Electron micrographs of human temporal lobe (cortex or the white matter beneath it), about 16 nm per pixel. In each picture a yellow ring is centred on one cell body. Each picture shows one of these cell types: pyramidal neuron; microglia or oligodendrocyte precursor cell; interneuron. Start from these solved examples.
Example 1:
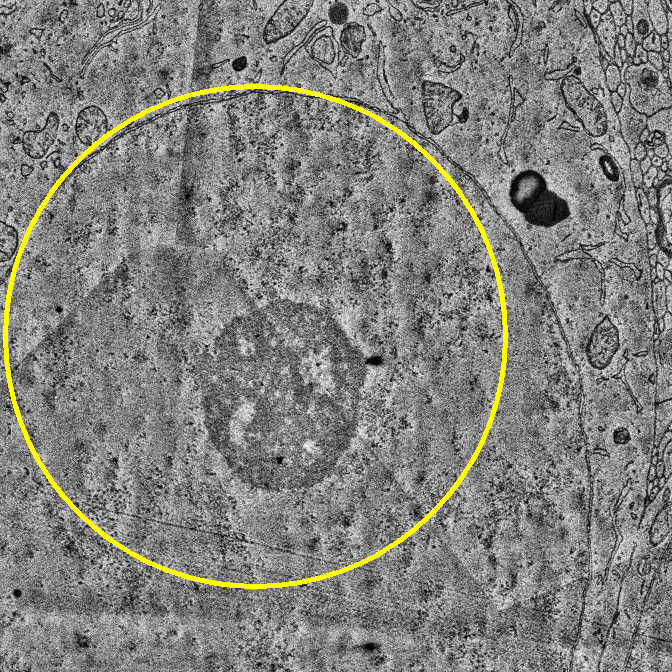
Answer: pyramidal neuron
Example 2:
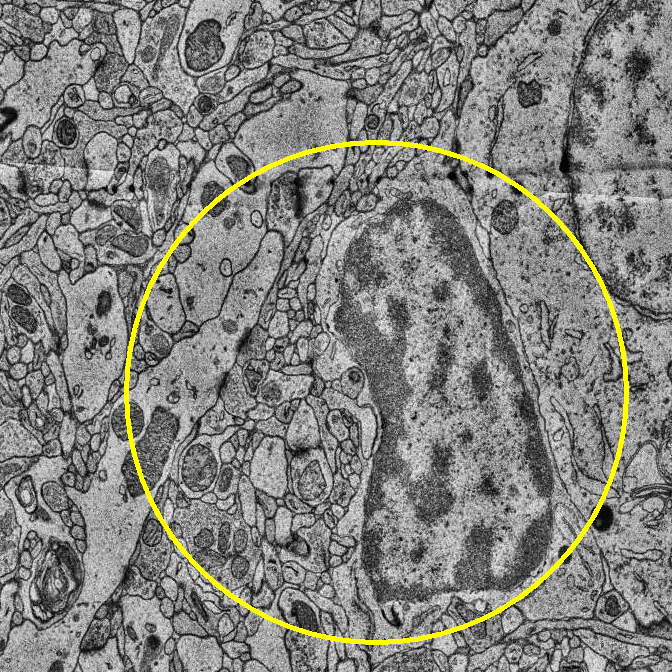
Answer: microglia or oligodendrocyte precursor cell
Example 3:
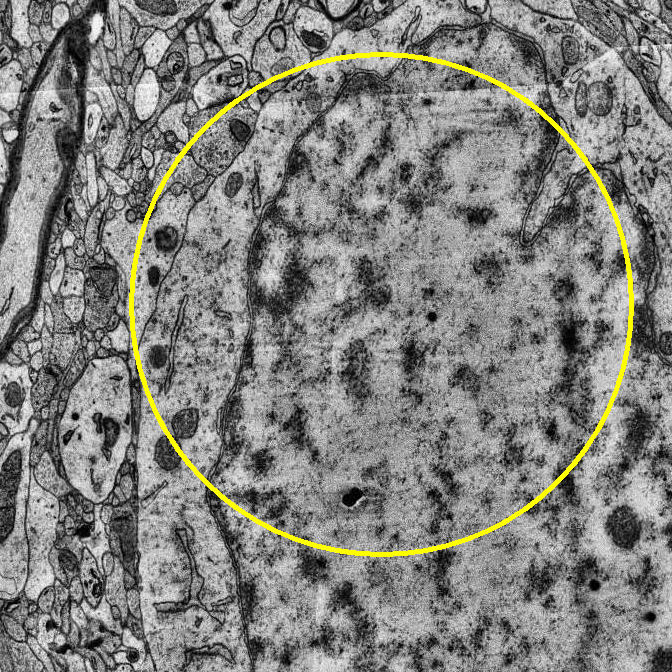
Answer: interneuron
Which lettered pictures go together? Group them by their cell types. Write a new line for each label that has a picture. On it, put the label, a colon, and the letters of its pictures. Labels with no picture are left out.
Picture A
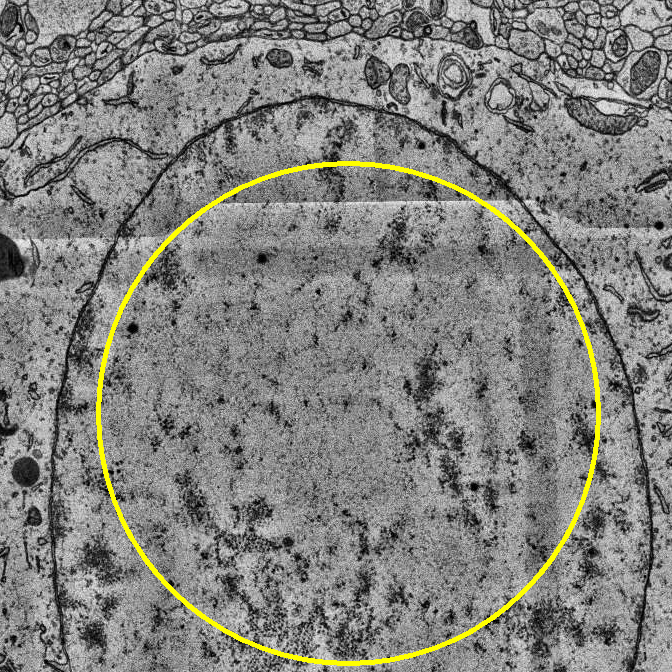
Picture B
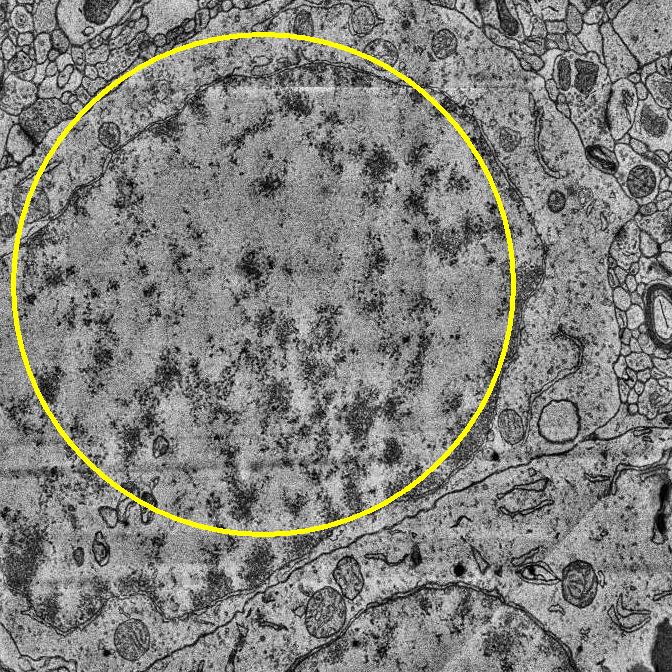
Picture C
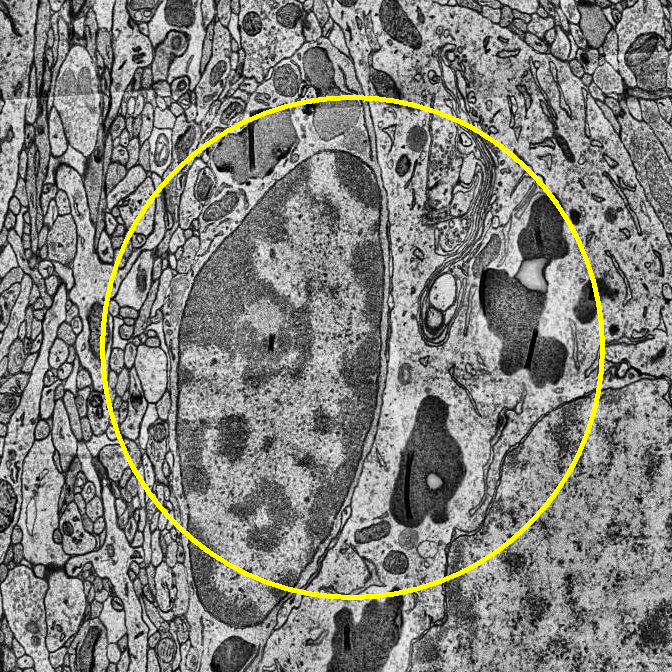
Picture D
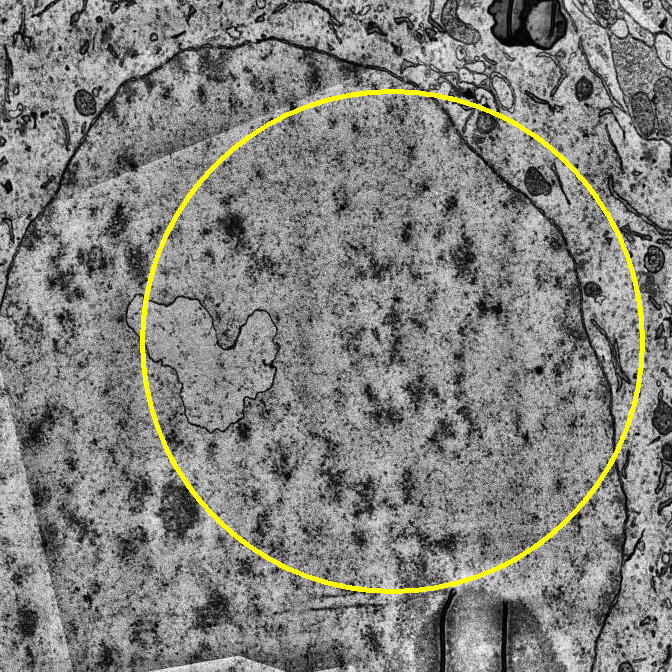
pyramidal neuron: A, D
microglia or oligodendrocyte precursor cell: C
interneuron: B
